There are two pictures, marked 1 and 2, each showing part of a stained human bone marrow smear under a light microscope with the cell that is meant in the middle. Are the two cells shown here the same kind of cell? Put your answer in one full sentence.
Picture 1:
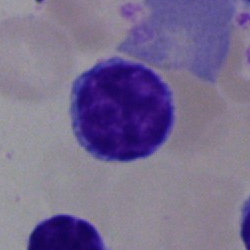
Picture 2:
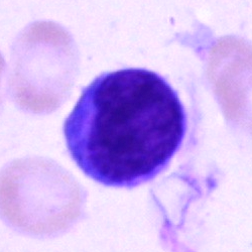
Yes, both are lymphocytes.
